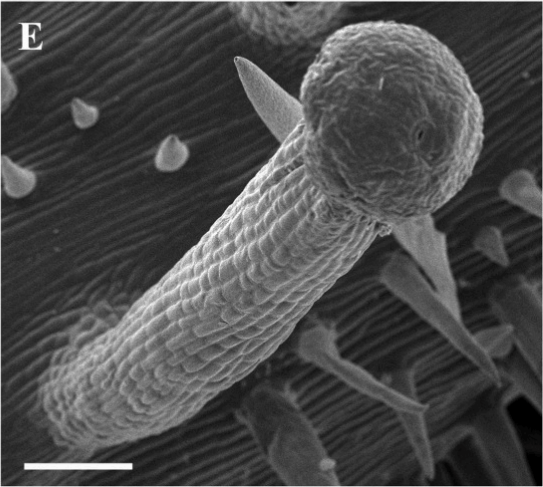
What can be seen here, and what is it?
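A spherical multicellular head is carried on a long cylindrical stalk that leans obliquely away from the surface. The stalk is built of many small, rectangular to rounded cells arranged in longitudinal files. The head surface shows polygonal cell outlines with slight wrinkling and a small pore-like depression. Around the base the epidermis has parallel striations, and short conical and longer pointed non-glandular hairs project nearby.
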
